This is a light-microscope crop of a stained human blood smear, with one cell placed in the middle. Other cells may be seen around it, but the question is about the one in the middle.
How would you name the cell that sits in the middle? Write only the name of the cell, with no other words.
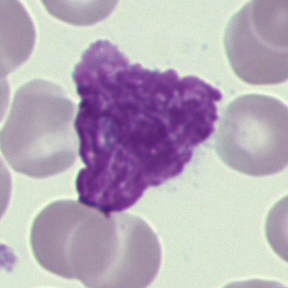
smudge cell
